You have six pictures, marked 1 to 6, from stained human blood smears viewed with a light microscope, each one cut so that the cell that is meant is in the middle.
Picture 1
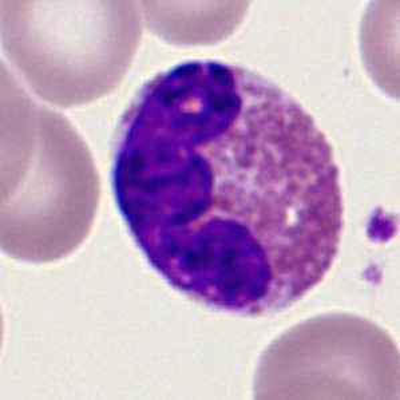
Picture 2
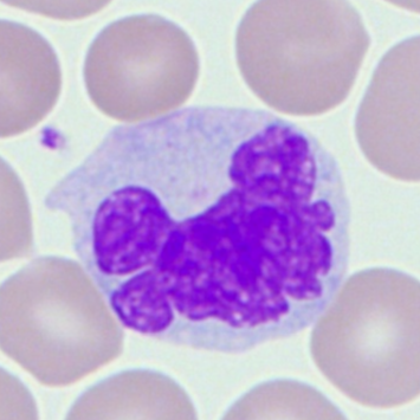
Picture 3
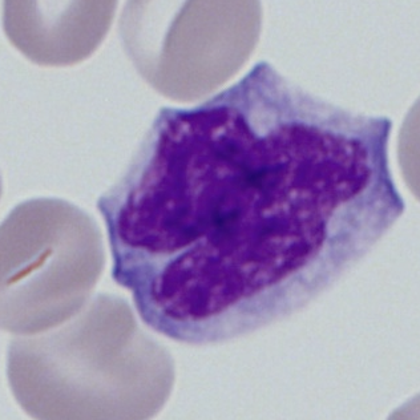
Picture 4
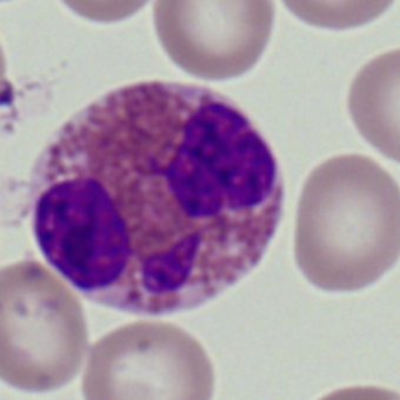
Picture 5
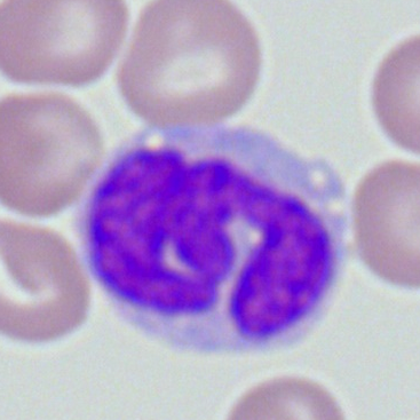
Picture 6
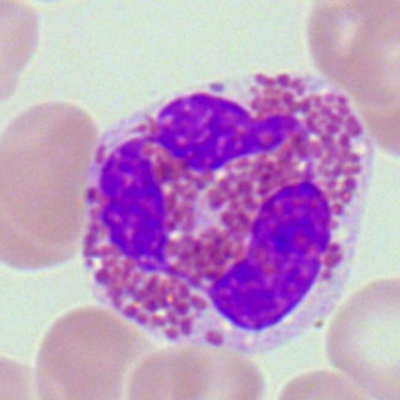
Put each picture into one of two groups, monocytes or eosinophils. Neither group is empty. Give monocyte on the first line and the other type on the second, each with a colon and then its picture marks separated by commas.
monocyte: 2, 3, 5
eosinophil: 1, 4, 6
